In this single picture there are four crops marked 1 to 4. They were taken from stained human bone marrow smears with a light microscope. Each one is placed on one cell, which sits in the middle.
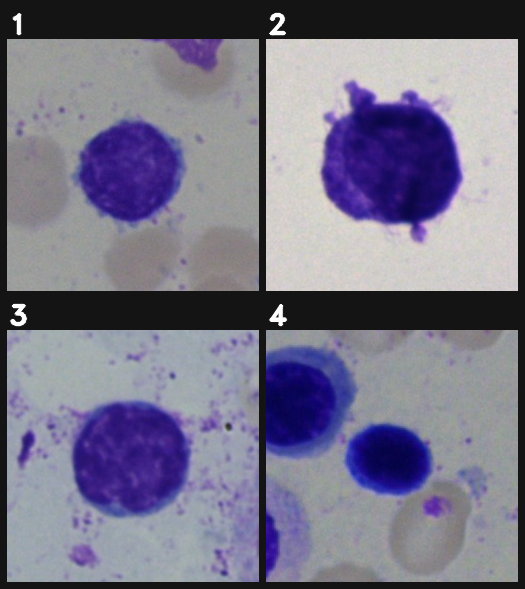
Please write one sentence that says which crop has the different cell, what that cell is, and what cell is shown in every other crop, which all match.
Whereas the other crops show lymphocytes, crop 2 is a blast.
